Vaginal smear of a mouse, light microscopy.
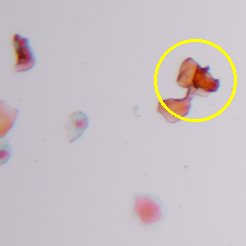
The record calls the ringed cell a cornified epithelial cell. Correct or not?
Correct; it is a cornified epithelial cell.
